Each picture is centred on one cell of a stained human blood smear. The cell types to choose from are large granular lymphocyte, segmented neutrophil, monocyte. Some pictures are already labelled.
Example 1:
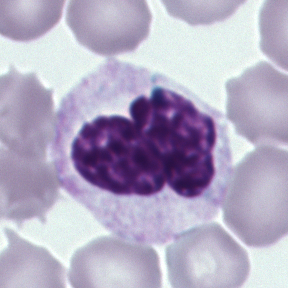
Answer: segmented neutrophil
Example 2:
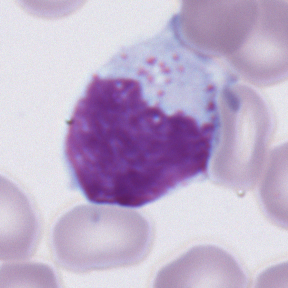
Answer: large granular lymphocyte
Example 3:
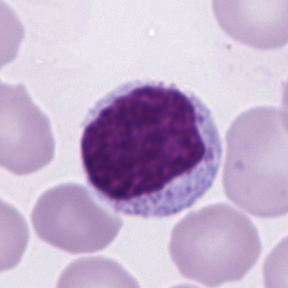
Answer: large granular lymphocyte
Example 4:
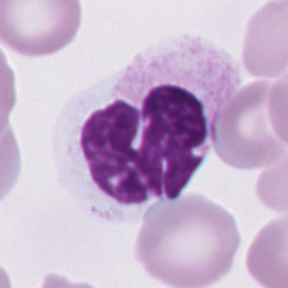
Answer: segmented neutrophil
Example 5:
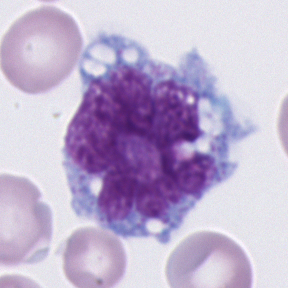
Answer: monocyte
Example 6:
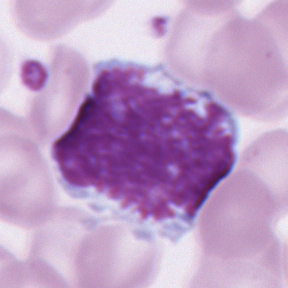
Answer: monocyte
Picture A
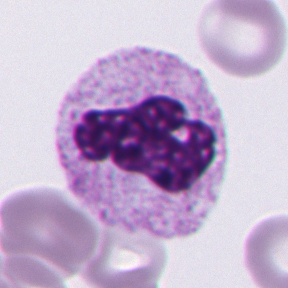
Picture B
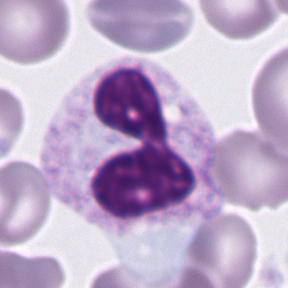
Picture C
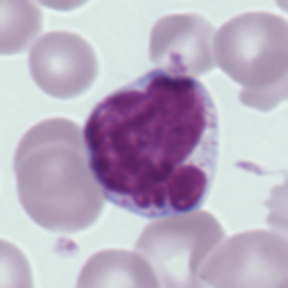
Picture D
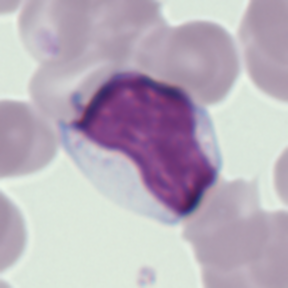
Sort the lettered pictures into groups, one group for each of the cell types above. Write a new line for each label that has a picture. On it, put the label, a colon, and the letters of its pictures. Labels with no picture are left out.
large granular lymphocyte: C, D
segmented neutrophil: A, B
